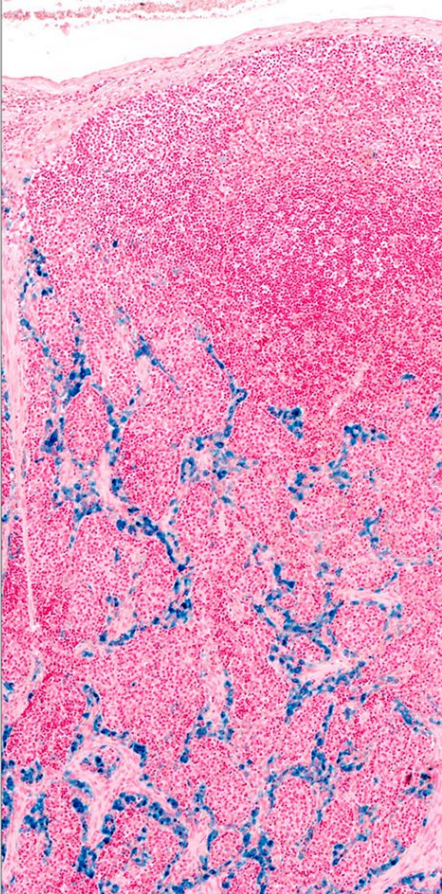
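A thin, pale pink fibrous layer runs across the top. Below it, sheets of small, closely packed cells with round red nuclei fill most of the field. Through the lower part runs a branching network of pale pink fibrous strands. The upper cellular zone, just beneath the fibrous layer, is almost free of blue.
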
